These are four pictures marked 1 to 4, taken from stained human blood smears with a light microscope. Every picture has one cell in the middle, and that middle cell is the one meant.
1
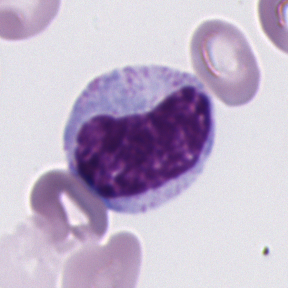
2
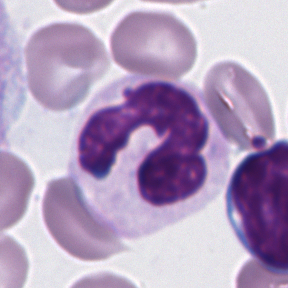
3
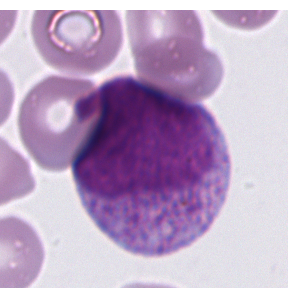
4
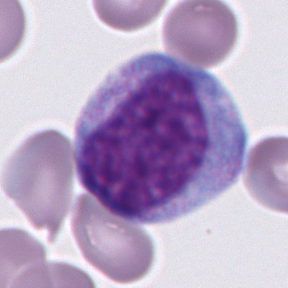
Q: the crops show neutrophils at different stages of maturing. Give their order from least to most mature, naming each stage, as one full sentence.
From youngest to most mature, the cells go crop 4 (a promyelocyte), crop 3 (a myelocyte), crop 1 (a metamyelocyte) and crop 2 (a band neutrophil).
